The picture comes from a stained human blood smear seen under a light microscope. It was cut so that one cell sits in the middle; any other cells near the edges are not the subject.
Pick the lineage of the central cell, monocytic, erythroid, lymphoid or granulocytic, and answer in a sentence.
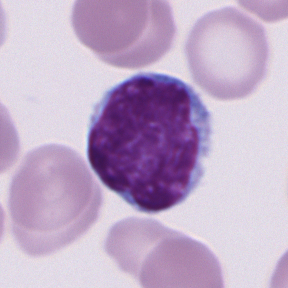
Of lymphoid lineage is the cell at the center of the crop.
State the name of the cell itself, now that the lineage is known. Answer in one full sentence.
In the middle of this smear crop is a typical lymphocyte.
